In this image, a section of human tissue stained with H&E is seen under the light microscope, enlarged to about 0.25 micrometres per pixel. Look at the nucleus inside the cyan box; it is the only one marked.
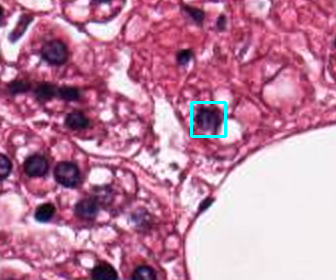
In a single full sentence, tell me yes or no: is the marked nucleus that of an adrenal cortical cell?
Yes, the marked nucleus is found within an adrenal cortical cell.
